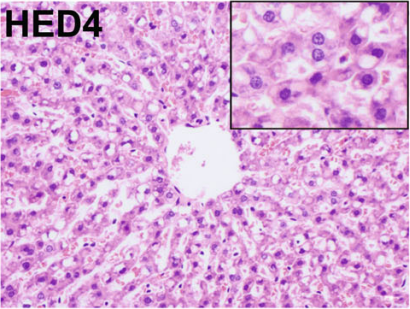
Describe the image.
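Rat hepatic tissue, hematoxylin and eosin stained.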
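Liver parenchyma with hepatocytes arranged in cords radiating from a large central vascular lumen. The hepatocytes are polygonal, with round, centrally placed, purple nuclei, some with visible nucleoli. Their pink cytoplasm is interrupted in many cells by clear, unstained vacuoles, giving a pale, foamy or bubbly look, best seen in the enlarged inset where several cells appear swollen with clear spaces around the nucleus. Narrow sinusoidal spaces separate the cell cords, and small, dark, elongated nuclei of lining cells lie along them. The cord pattern around the vessel is otherwise preserved.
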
